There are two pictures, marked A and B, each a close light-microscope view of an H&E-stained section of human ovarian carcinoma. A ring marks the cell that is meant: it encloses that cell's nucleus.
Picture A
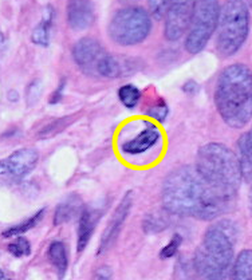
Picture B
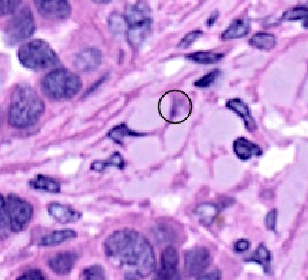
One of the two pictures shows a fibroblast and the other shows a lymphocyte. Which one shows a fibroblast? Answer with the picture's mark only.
B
